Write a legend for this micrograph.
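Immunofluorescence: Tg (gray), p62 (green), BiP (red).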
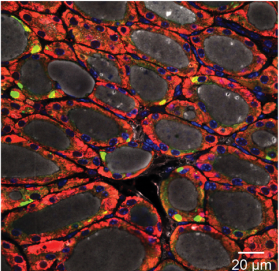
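This is thyroid gland tissue seen by fluorescence, with follicles whose lumens are filled with gray material. Each follicle is lined by epithelial cells whose cytoplasm glows red, with small blue nuclei along the layer. The follicles are packed closely, with only thin dark spaces between them.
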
